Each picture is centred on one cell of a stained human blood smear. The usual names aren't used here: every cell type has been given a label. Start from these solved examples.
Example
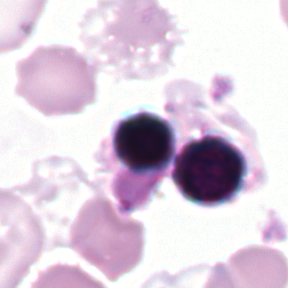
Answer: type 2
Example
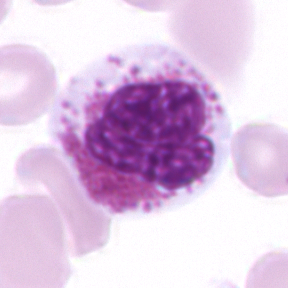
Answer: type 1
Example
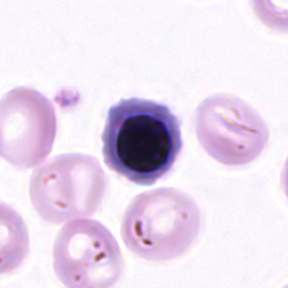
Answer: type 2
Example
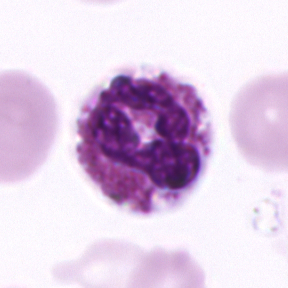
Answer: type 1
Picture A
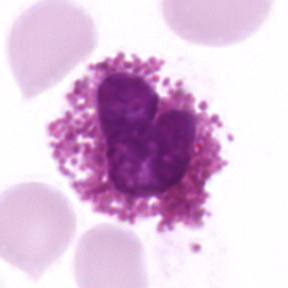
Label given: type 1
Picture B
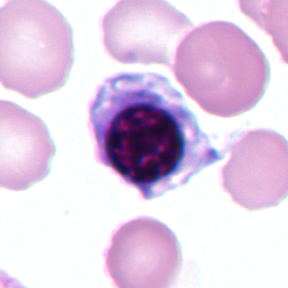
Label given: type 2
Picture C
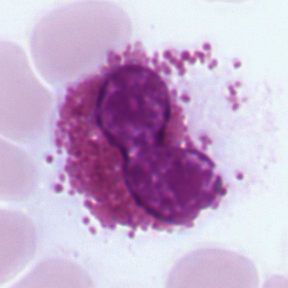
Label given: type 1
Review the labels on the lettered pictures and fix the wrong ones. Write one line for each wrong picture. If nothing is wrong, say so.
None of the labels needs changing.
